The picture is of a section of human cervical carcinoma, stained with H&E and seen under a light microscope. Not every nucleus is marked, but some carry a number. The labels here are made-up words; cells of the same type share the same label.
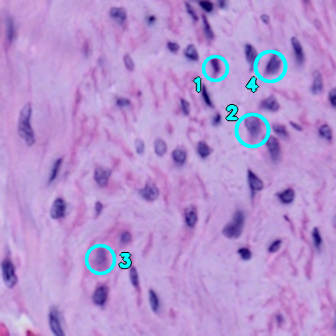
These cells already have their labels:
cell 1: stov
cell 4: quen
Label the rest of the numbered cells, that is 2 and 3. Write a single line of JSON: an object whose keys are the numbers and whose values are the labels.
{"2": "stov", "3": "stov"}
